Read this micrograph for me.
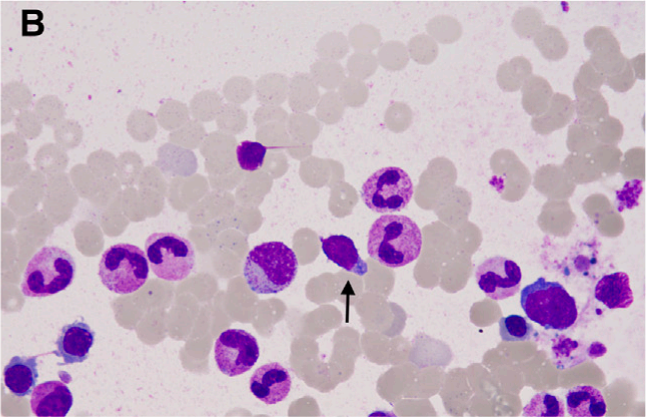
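This bone marrow smear shows mostly granulocytic cells with pink granular cytoplasm and band-shaped or segmented nuclei, set among pale red cells. A few larger cells have round nuclei and blue cytoplasm. A small cell with a dense dark nucleus and a little tag of blue cytoplasm lies among them.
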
